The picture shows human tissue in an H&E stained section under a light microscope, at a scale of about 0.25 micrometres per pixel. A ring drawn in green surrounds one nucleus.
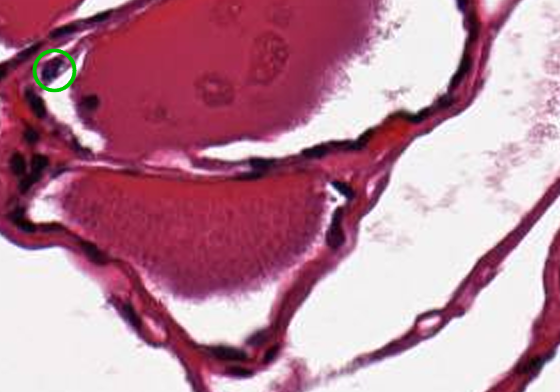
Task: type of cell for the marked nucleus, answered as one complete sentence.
A nucleus of a thyroid follicular cell is the one that is marked.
